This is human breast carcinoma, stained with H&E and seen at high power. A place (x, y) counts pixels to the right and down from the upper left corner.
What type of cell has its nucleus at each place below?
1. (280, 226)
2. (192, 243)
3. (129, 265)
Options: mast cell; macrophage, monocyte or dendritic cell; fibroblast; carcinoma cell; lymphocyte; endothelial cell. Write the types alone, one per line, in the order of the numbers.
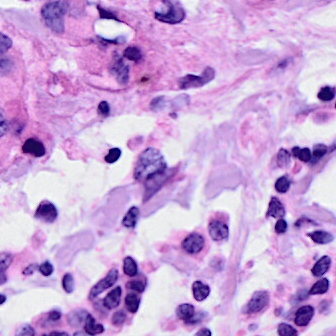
lymphocyte
mast cell
lymphocyte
